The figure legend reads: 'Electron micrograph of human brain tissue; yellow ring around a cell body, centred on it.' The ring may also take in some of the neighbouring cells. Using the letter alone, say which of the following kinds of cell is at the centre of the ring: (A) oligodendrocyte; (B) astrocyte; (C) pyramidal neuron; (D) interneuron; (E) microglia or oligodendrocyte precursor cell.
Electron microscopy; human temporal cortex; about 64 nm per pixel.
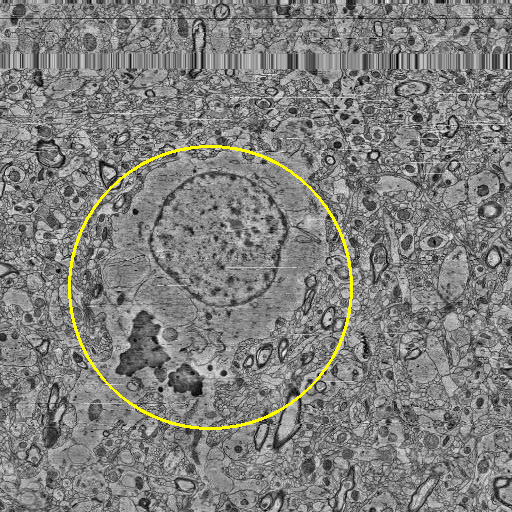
B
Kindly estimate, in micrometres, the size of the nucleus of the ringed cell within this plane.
The nucleus appears about 9 micrometres across in this plane.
